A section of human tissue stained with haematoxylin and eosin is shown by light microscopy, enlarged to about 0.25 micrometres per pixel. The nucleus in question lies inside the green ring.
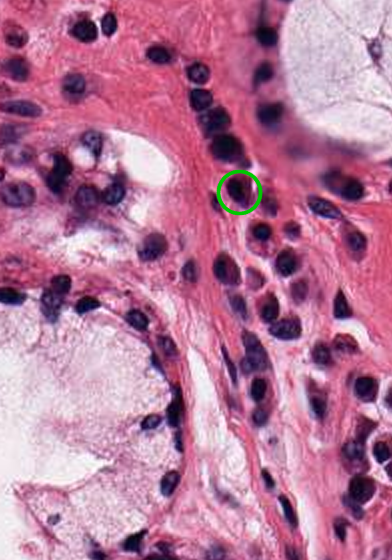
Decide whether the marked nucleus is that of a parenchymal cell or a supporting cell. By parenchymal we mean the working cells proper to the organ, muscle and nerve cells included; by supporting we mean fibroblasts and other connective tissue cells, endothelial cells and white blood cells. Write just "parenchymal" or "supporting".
supporting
